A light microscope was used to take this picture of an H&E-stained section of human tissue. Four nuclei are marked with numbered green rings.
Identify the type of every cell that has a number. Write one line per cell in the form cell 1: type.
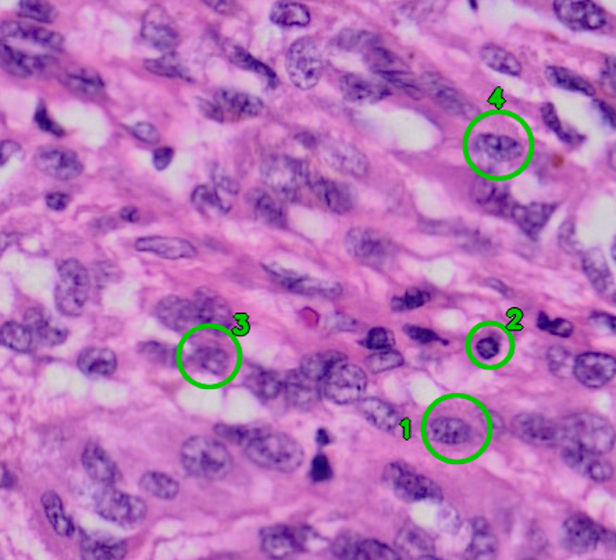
cell 1: melanoma cell
cell 2: plasma cell
cell 3: melanoma cell
cell 4: melanoma cell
